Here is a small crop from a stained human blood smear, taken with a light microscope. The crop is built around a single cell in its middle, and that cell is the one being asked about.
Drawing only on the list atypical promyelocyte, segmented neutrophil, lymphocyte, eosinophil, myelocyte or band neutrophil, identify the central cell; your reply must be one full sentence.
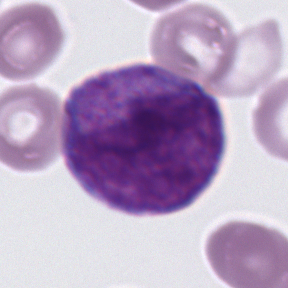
On this slide crop, the central cell is an atypical promyelocyte.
